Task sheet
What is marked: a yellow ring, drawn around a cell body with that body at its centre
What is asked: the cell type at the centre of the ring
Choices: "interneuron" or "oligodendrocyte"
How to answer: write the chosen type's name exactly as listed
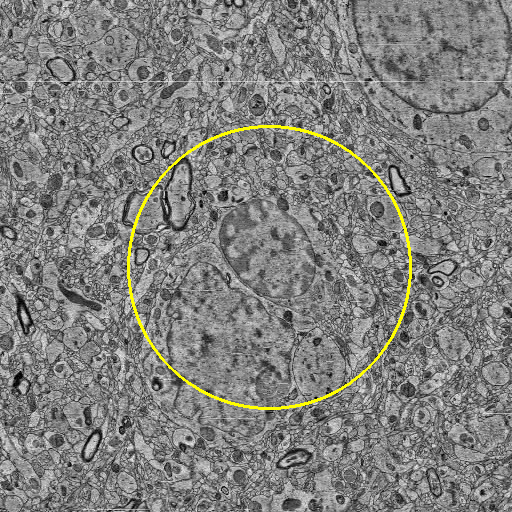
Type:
oligodendrocyte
